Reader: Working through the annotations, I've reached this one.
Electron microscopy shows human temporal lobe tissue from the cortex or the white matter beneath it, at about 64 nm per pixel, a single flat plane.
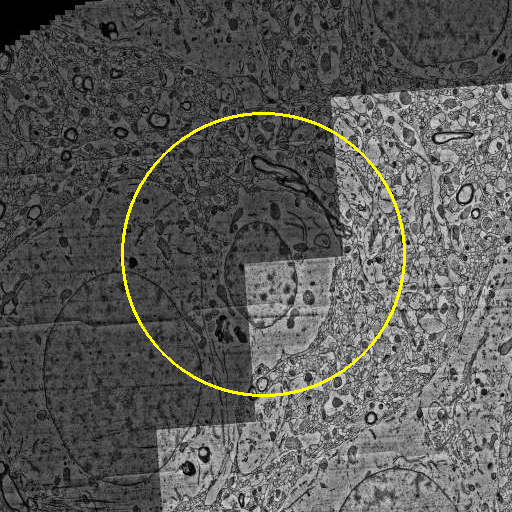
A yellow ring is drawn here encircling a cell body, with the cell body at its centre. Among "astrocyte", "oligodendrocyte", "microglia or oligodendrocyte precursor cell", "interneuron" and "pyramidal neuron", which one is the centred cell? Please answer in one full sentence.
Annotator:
The cell body at the centre of the yellow ring in this image belongs to an astrocyte.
